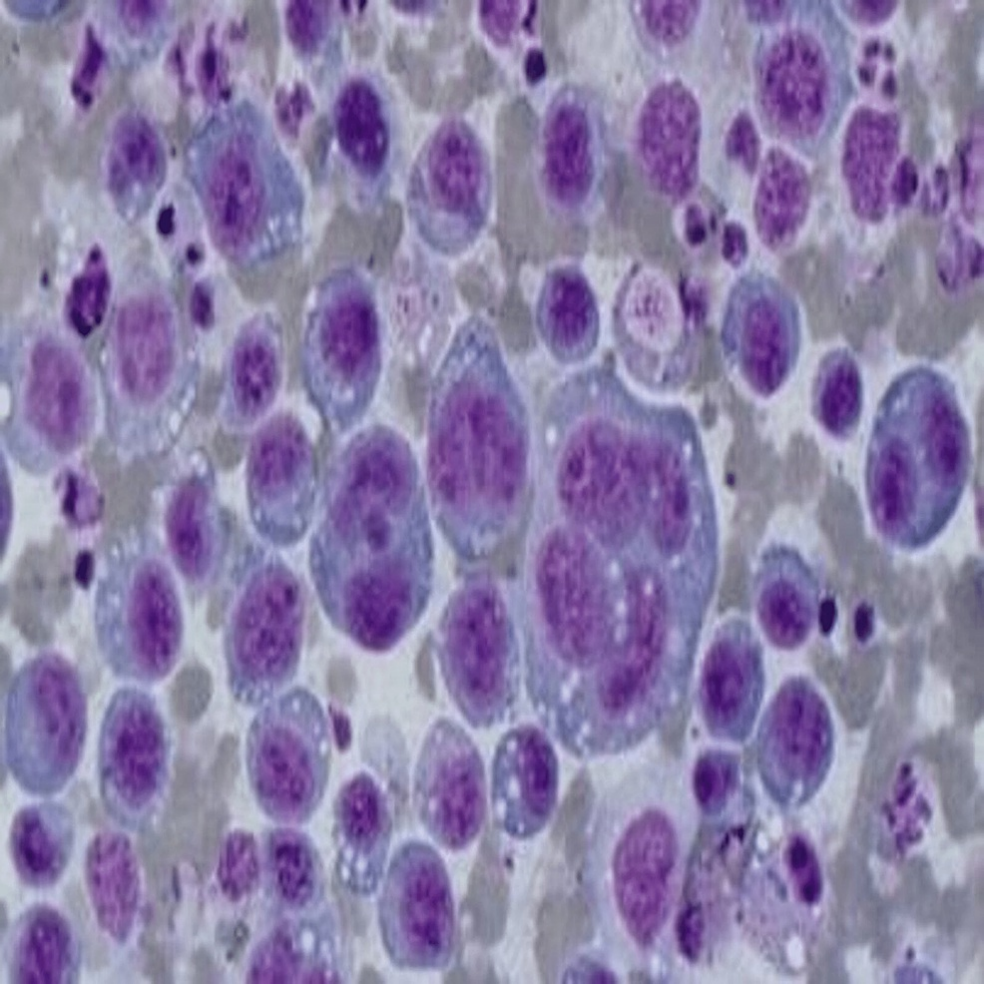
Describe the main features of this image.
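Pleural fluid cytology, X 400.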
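Many cells carry small clear vacuoles in the cytoplasm. Several cells have two nuclei, and a very large cell near the centre holds multiple nuclei within one shared cytoplasm. A few small dark-staining cells with segmented or condensed nuclei lie scattered among them on a pale grey background.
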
